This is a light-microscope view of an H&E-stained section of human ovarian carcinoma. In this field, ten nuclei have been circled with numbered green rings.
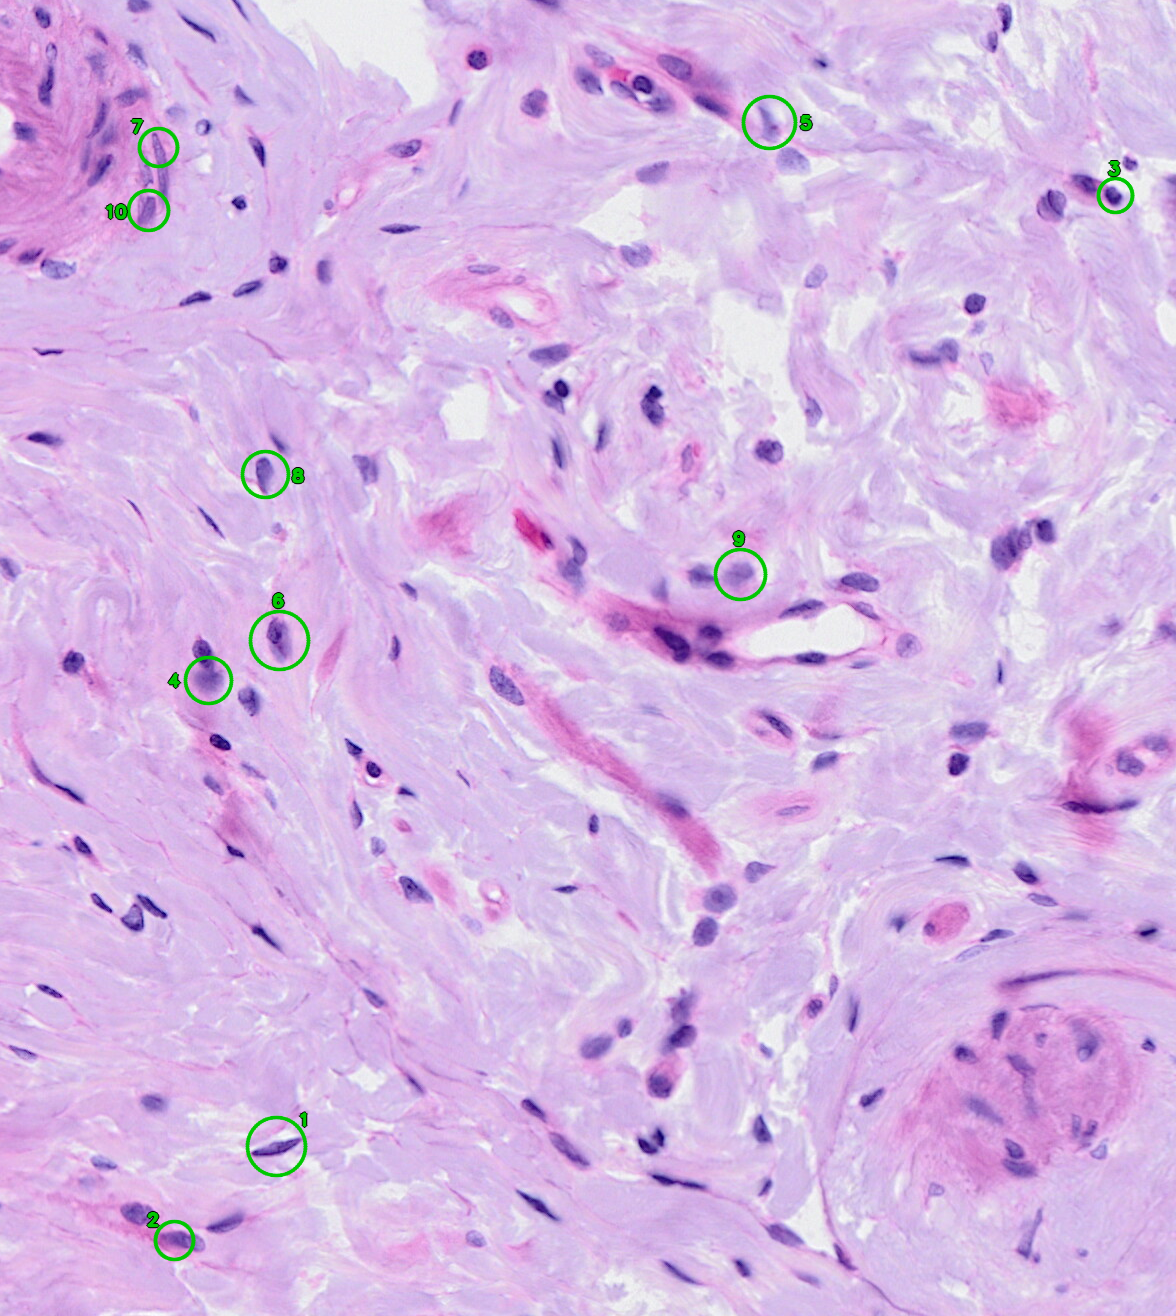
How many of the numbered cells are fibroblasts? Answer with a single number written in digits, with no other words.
6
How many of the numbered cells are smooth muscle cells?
3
